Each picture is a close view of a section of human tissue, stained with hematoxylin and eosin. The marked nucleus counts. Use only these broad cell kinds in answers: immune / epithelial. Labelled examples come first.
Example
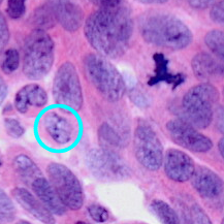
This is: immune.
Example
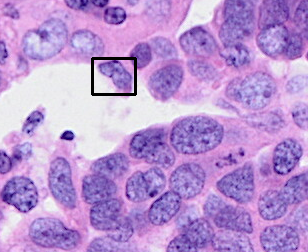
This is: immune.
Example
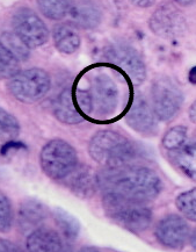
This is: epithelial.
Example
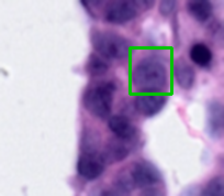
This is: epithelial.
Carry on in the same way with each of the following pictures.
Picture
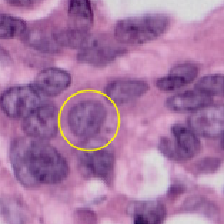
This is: epithelial.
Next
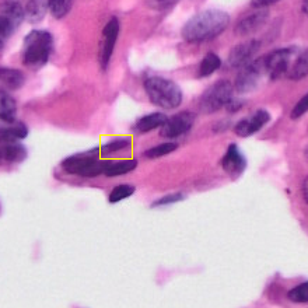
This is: epithelial.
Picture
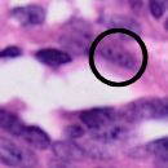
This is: epithelial.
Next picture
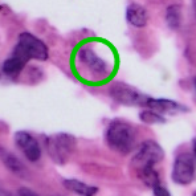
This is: immune.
